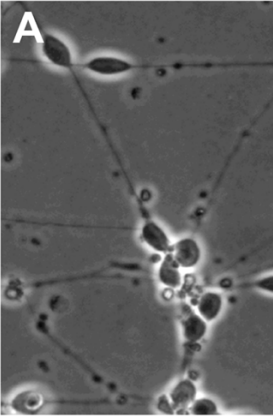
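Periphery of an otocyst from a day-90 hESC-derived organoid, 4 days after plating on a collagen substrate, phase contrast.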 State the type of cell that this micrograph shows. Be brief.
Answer: Bipolar neurons.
